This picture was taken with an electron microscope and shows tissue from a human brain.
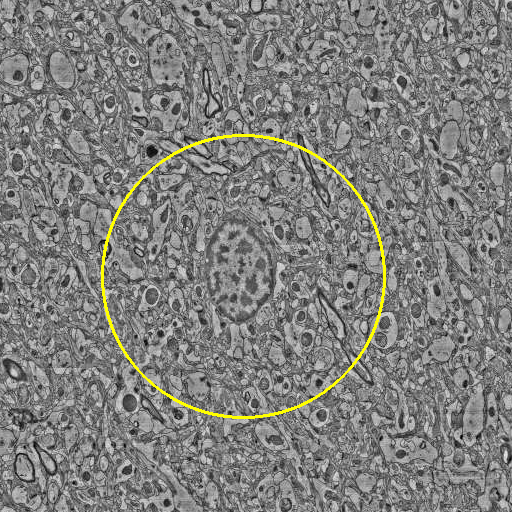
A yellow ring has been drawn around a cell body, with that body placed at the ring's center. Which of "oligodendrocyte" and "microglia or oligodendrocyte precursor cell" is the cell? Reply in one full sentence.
In this picture, an oligodendrocyte is the cell at the center of the yellow ring.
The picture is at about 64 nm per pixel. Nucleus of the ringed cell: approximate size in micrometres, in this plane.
Roughly 6 by 4 micrometres is the size of the nucleus in this plane.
